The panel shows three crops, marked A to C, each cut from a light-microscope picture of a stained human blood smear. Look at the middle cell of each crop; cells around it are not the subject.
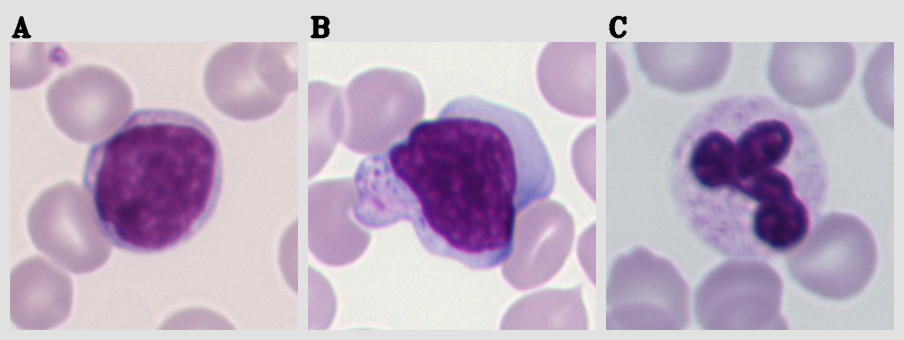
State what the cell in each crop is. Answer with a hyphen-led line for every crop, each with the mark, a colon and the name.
- A: large granular lymphocyte
- B: large granular lymphocyte
- C: segmented neutrophil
